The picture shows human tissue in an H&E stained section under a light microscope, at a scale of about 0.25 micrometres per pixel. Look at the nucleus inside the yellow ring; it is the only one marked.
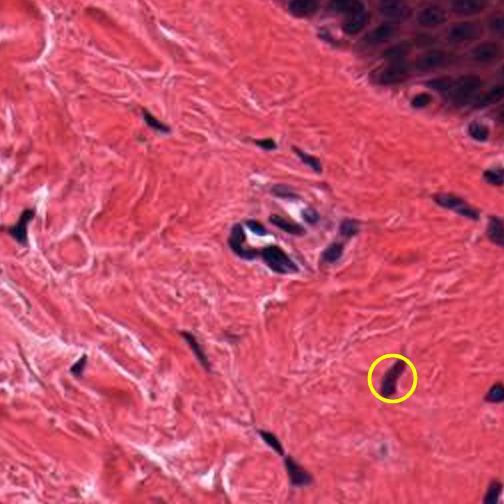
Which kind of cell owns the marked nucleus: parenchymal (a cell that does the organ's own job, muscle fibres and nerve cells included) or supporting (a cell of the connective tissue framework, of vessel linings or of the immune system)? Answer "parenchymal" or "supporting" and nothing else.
supporting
